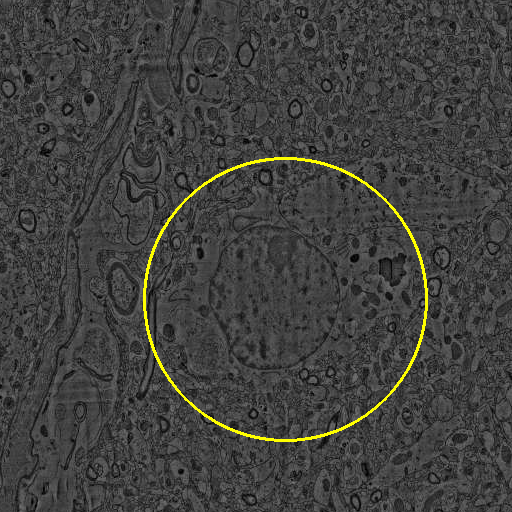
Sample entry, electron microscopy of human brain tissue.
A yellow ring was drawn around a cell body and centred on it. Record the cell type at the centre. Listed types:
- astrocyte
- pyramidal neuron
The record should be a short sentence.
The cell at the ring's centre is an astrocyte.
